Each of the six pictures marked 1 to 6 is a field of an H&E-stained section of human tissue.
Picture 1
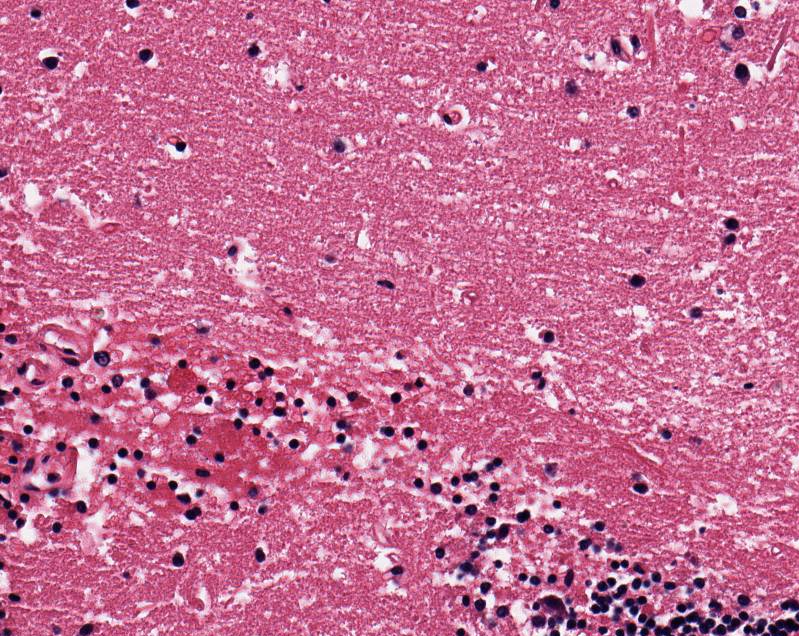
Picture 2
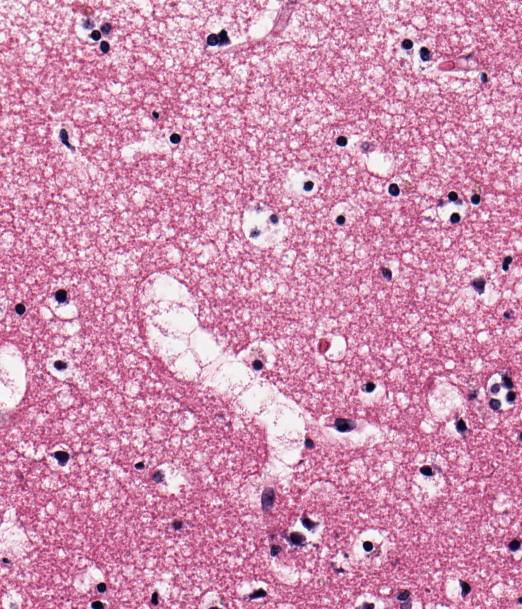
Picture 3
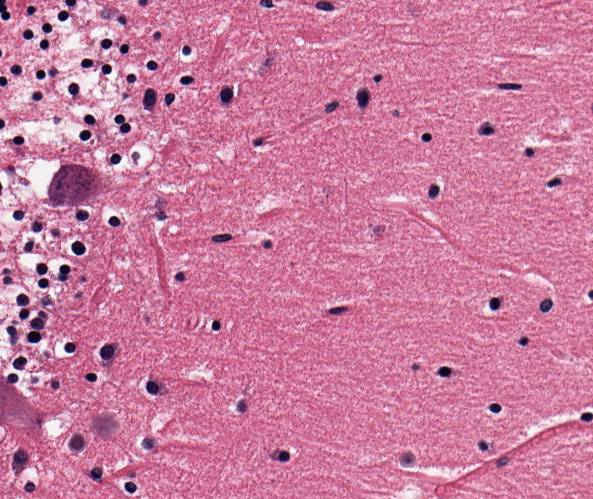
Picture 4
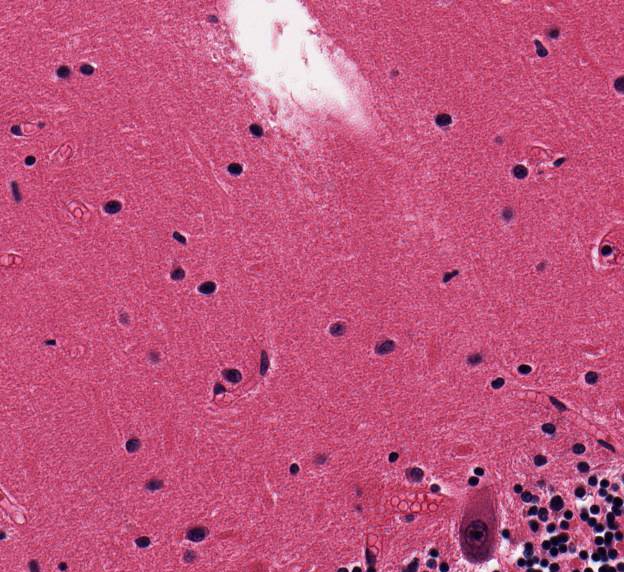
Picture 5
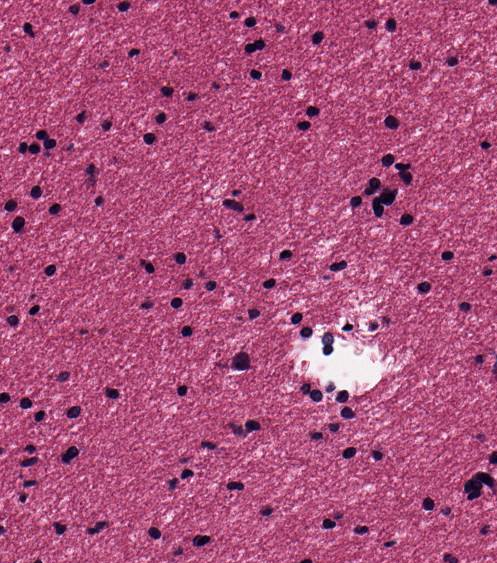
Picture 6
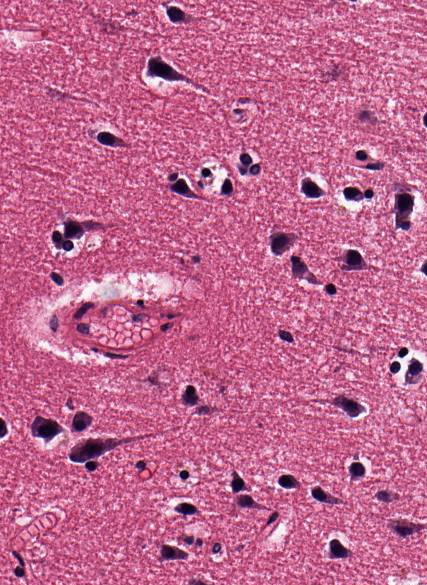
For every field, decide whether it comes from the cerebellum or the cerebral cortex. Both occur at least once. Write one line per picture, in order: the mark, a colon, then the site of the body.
1: cerebellum
2: cerebral cortex
3: cerebellum
4: cerebellum
5: cerebral cortex
6: cerebral cortex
